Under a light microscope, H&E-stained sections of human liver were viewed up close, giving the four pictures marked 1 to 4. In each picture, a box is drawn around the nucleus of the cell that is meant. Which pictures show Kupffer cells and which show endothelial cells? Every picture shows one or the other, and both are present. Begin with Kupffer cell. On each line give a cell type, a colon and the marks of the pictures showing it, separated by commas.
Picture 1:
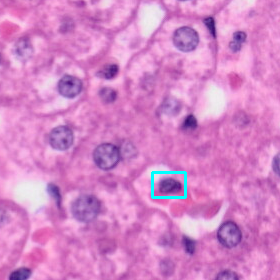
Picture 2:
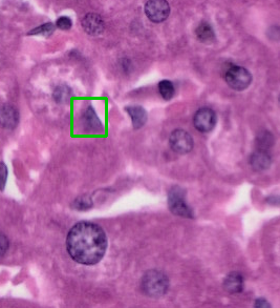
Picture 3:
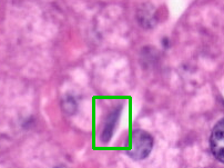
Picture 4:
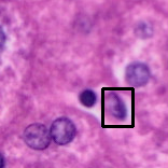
Kupffer cell: 1, 3, 4
endothelial cell: 2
